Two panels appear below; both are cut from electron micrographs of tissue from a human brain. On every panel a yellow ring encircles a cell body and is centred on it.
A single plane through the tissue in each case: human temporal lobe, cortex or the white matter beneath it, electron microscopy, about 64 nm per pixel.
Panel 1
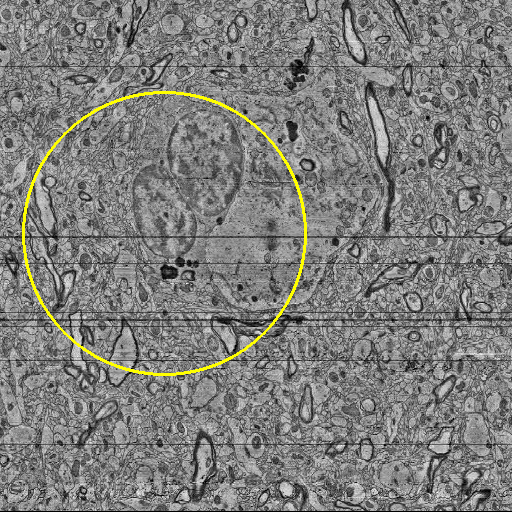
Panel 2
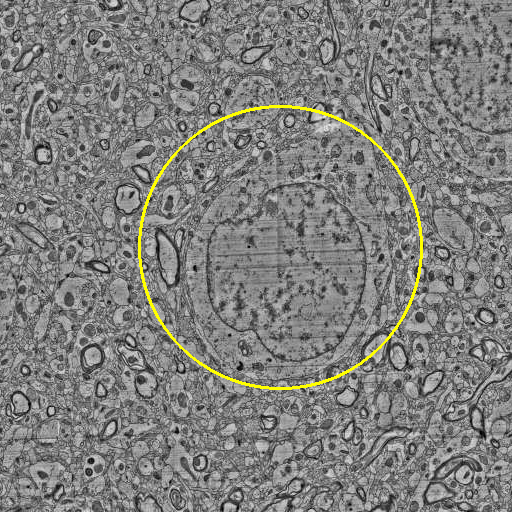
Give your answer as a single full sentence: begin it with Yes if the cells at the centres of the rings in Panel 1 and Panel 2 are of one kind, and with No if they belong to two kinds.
No, the cells in the middle of the rings in Panels 1 and 2 are of two kinds.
